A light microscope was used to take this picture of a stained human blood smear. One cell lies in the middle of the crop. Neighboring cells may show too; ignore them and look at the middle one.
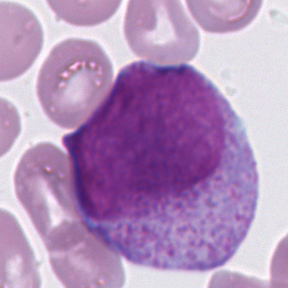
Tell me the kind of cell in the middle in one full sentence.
The cell centred in this crop is categorized as a promyelocyte.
